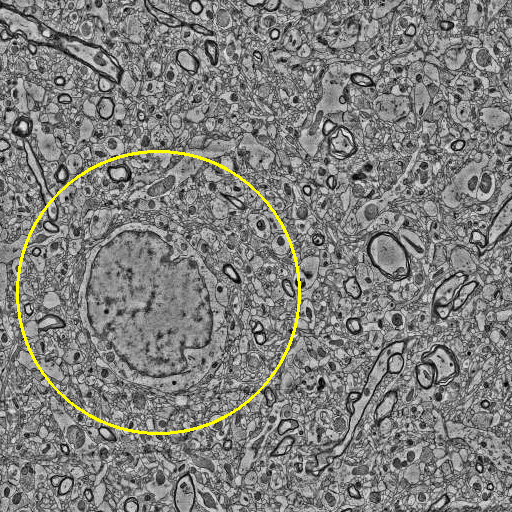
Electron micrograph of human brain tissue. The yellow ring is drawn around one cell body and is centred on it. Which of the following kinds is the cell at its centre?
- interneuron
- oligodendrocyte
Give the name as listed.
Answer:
interneuron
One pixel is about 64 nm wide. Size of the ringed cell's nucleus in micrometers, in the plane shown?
About 10 by 8 micrometers, in this plane.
